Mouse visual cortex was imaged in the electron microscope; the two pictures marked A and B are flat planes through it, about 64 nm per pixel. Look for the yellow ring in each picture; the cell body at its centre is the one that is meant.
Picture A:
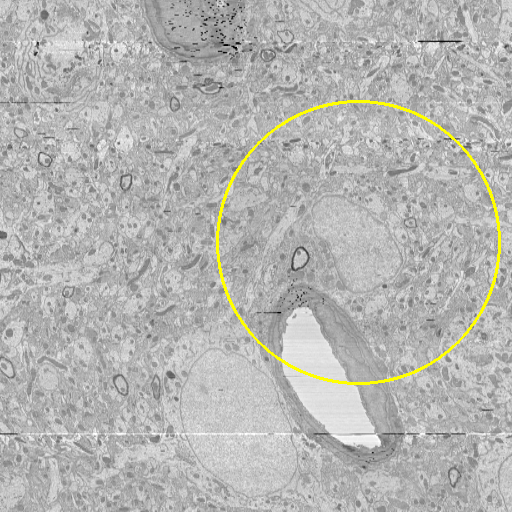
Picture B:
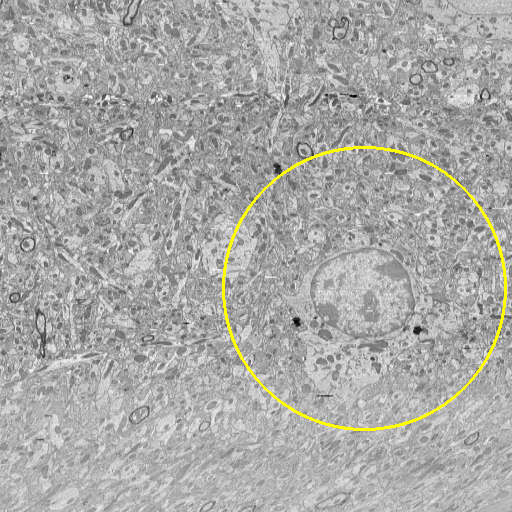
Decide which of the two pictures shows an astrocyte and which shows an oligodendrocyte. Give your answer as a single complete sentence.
It is picture A that shows an astrocyte, and picture B that shows an oligodendrocyte.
